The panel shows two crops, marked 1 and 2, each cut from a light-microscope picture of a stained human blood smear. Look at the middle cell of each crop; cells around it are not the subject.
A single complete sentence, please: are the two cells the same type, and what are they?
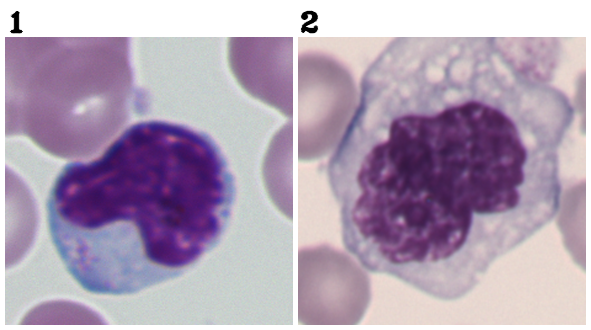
No, as for crop 1, it shows a large granular lymphocyte, and crop 2 shows a monocyte.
